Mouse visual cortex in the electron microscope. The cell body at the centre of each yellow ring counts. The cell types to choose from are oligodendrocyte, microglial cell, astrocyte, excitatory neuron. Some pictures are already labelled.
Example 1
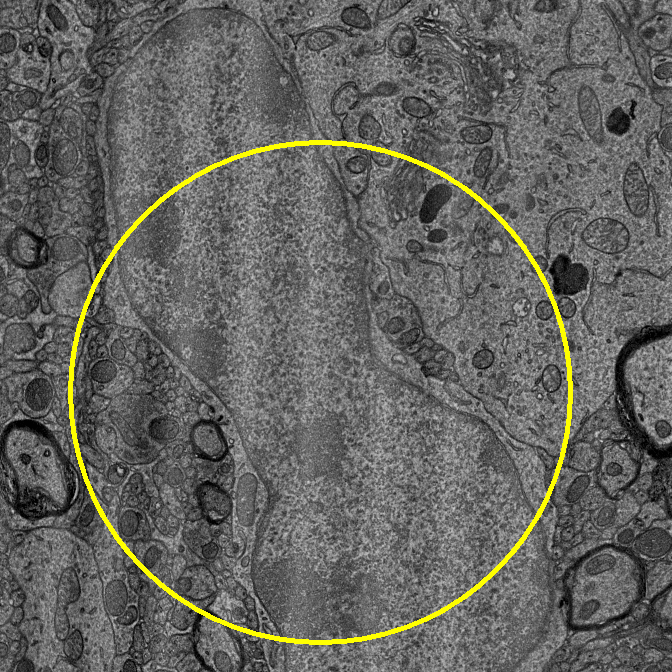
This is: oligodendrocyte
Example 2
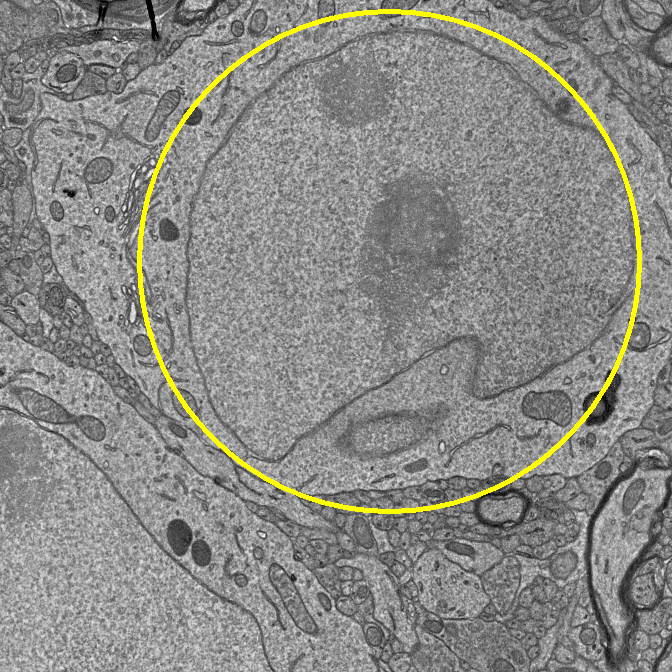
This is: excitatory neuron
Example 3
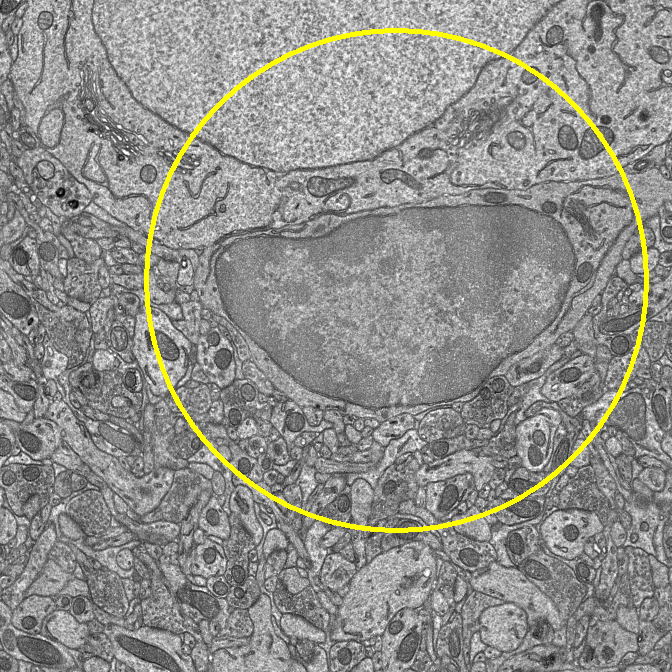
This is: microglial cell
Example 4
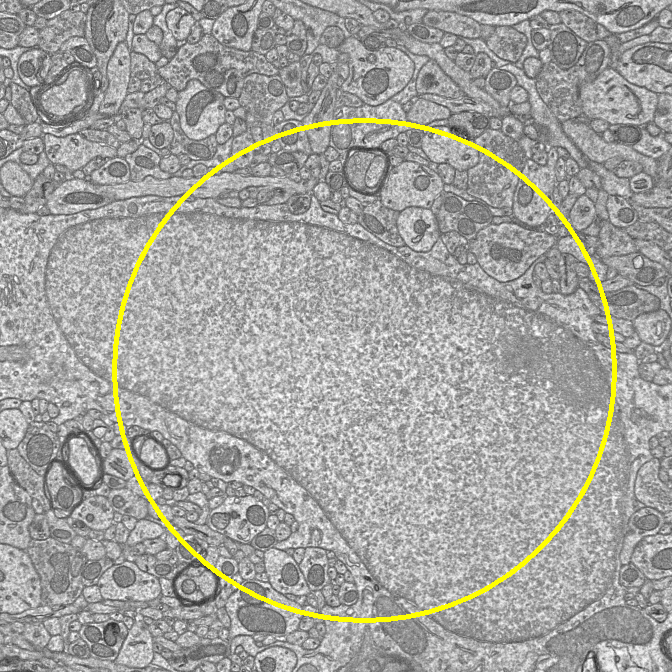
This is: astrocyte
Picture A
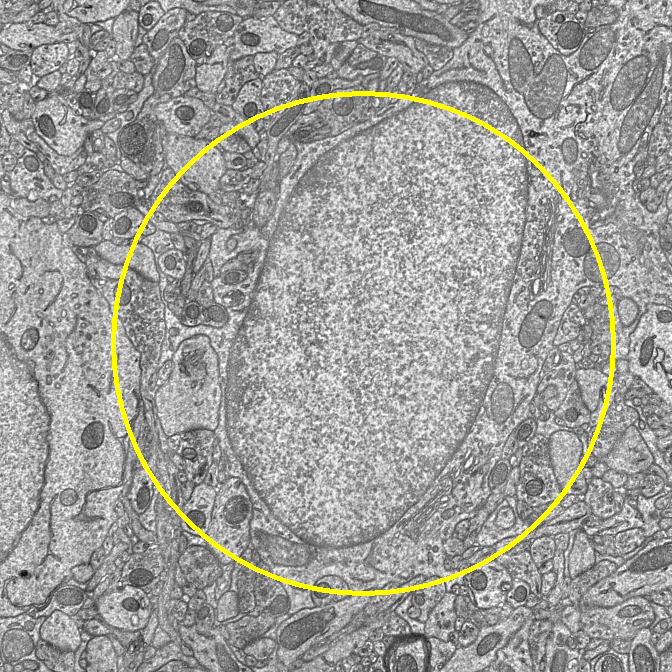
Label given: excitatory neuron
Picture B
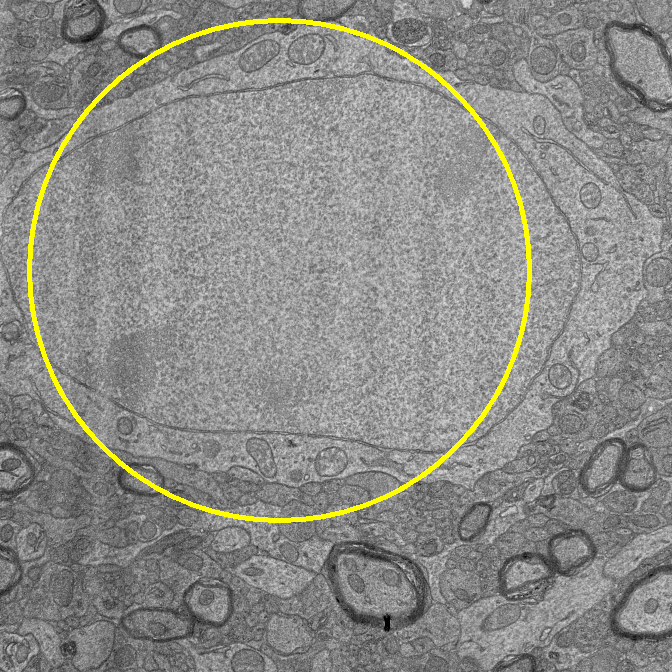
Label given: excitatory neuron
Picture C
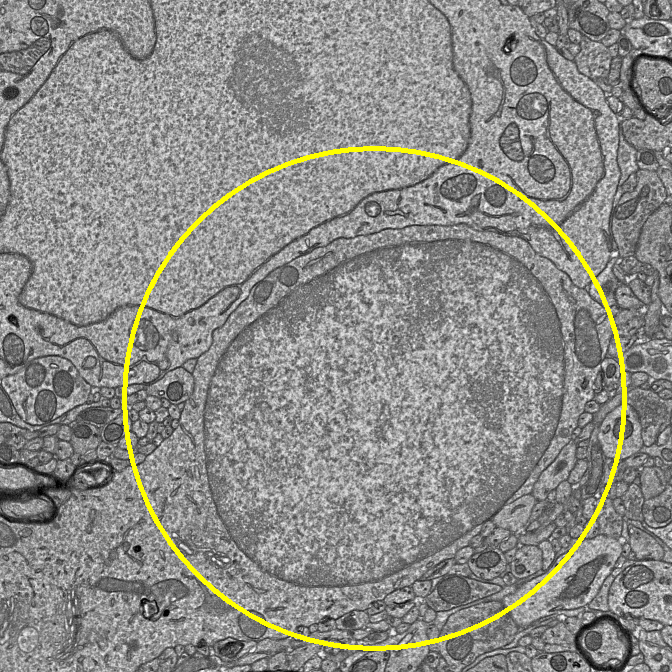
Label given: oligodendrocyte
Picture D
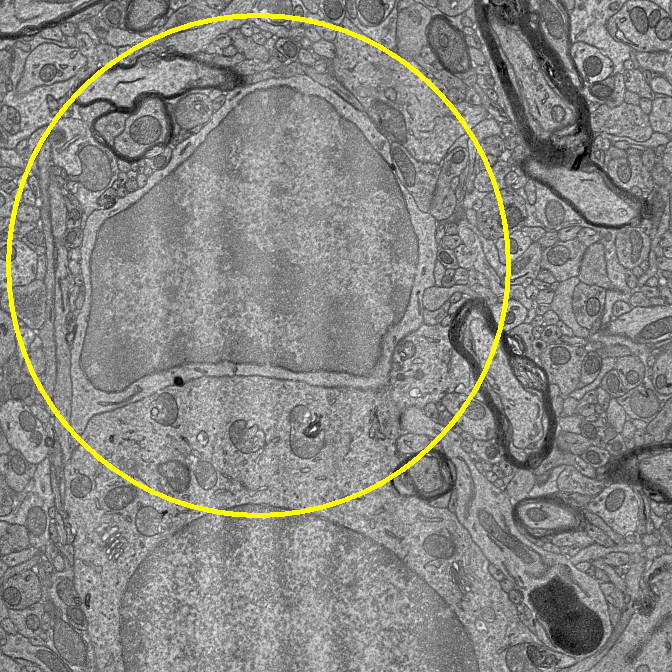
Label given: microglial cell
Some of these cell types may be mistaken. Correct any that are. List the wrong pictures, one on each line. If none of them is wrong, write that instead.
A: astrocyte, not excitatory neuron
